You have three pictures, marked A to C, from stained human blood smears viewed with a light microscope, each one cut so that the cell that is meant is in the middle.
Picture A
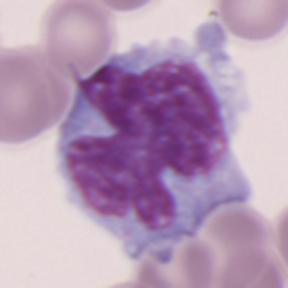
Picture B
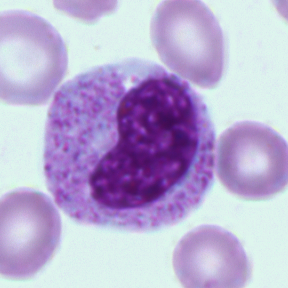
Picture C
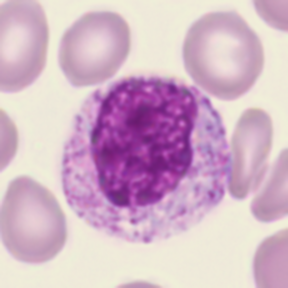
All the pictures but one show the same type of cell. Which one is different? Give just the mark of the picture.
A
